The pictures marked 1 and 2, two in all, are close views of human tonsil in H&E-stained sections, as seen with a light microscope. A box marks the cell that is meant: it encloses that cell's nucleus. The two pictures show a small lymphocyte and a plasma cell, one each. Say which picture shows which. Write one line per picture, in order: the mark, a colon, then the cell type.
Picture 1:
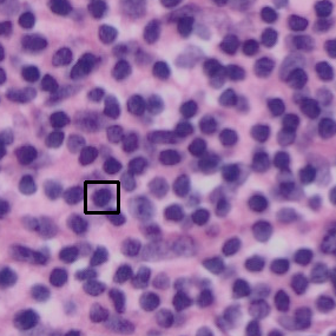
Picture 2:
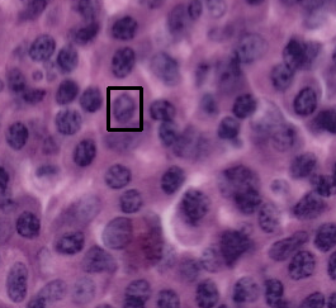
1: small lymphocyte
2: plasma cell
